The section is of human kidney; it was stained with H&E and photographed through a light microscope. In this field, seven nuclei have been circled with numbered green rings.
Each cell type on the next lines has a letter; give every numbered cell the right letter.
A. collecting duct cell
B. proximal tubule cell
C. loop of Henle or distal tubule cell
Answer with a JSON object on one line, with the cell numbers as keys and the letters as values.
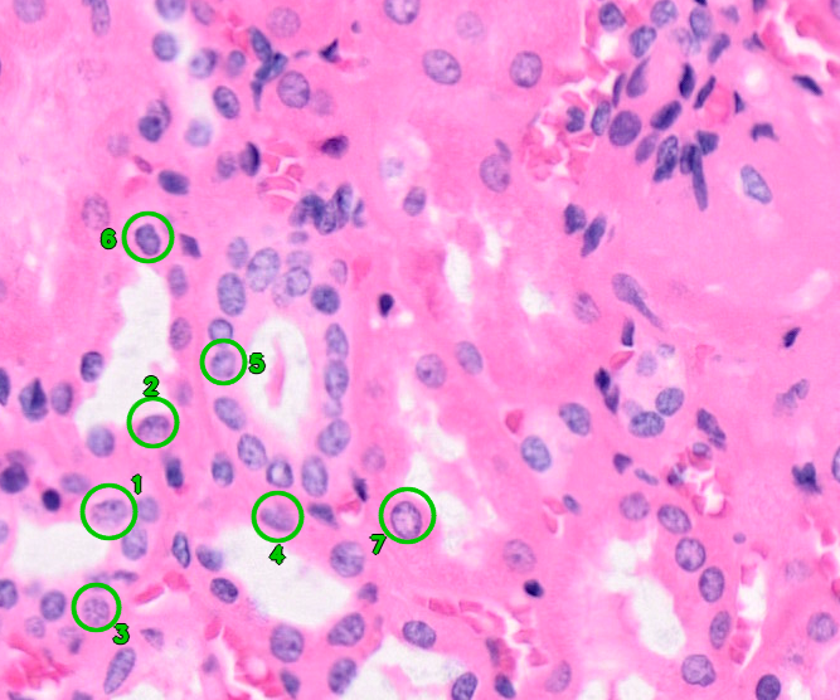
{"1": "A", "2": "C", "3": "A", "4": "C", "5": "A", "6": "C", "7": "B"}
